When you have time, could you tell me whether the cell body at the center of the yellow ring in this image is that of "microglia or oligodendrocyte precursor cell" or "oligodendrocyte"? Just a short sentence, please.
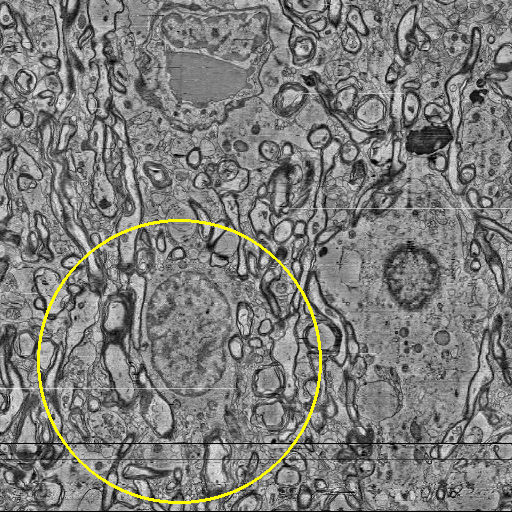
The cell body at the center of the ring is that of an oligodendrocyte.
